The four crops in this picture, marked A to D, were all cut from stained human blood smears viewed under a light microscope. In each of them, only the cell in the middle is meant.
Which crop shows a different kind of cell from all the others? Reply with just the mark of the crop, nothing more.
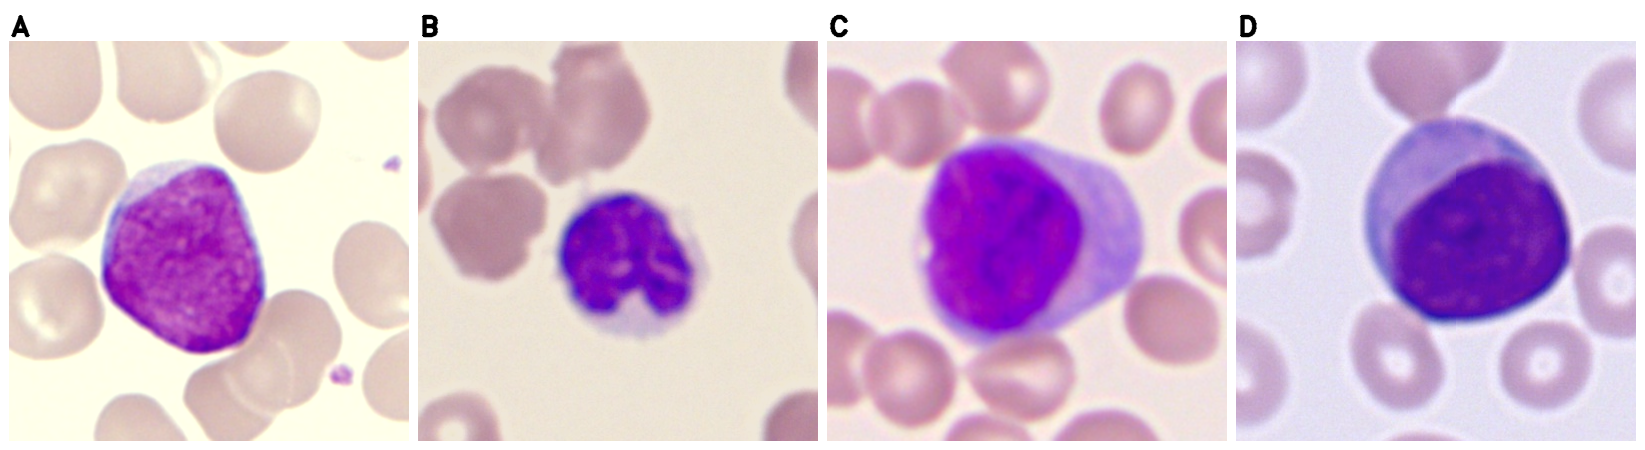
B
